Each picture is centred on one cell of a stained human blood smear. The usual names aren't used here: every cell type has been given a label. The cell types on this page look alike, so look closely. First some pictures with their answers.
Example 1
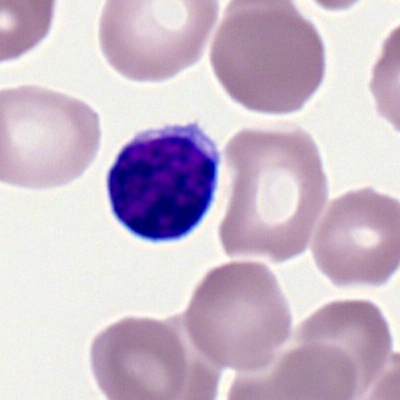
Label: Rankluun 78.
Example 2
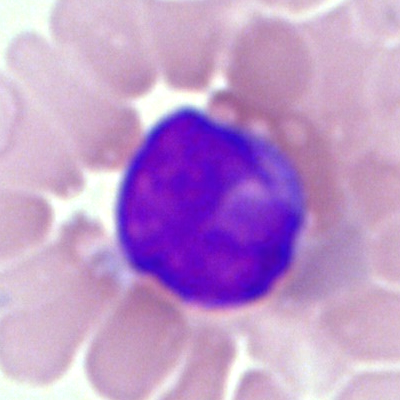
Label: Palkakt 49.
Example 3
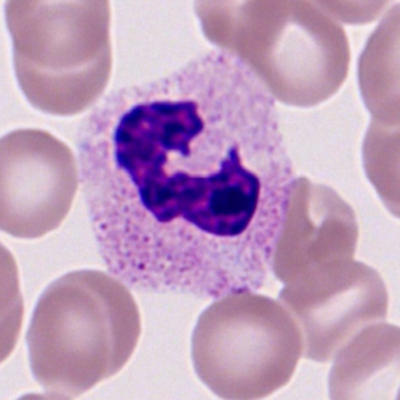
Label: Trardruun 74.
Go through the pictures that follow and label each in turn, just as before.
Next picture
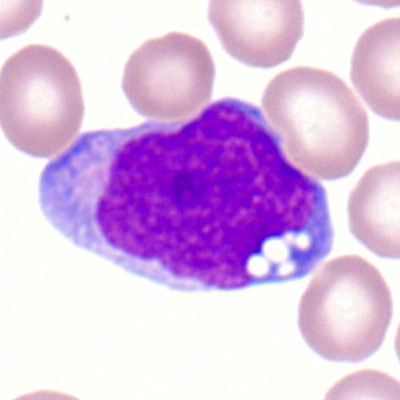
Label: Palkakt 49.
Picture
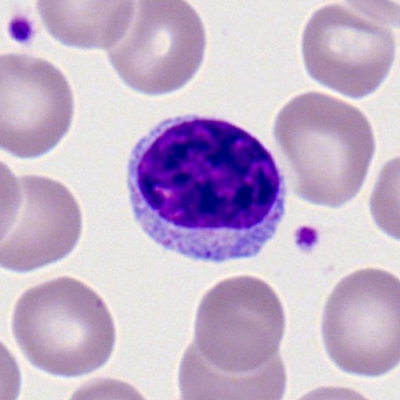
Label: Rankluun 78.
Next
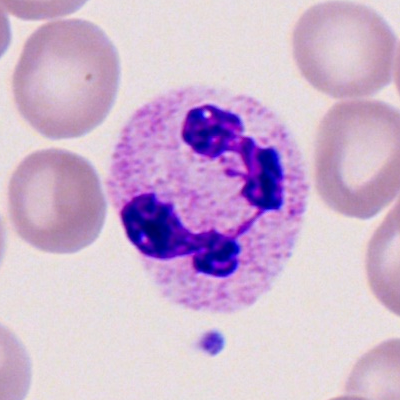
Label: Trardruun 74.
